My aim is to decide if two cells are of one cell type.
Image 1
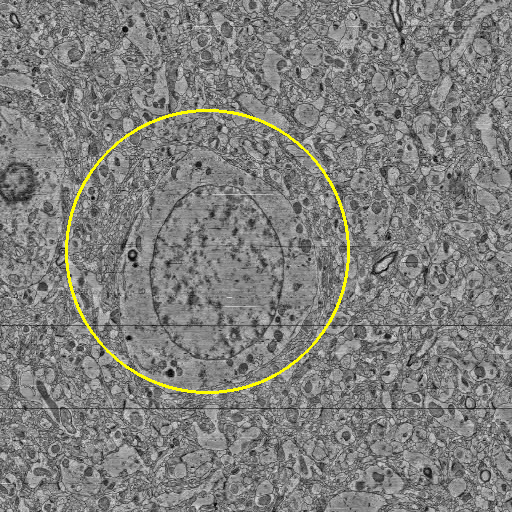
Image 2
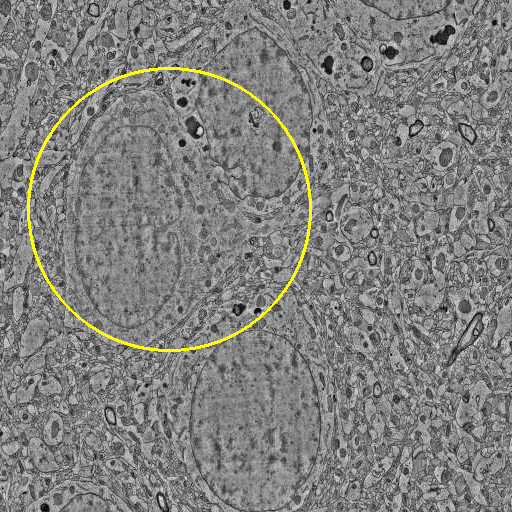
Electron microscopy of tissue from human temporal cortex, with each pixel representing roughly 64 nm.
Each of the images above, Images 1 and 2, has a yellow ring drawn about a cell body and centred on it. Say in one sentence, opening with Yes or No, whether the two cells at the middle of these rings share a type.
No, in Images 1 and 2 the cells at the middle of the rings fall into two types.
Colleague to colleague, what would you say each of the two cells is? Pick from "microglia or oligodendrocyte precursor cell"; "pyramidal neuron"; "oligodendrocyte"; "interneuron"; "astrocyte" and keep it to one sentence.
The cell in the first picture is a pyramidal neuron; the second picture's cell is an interneuron.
